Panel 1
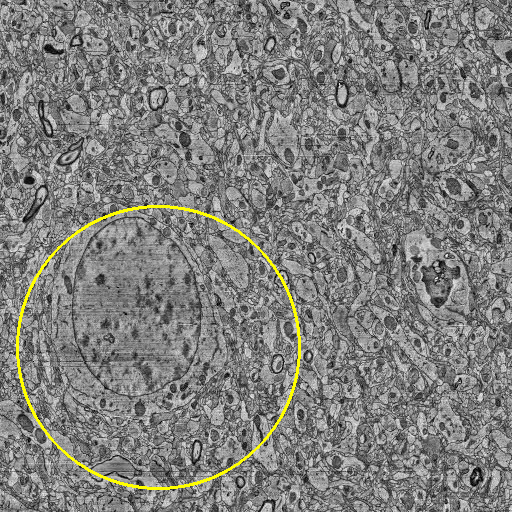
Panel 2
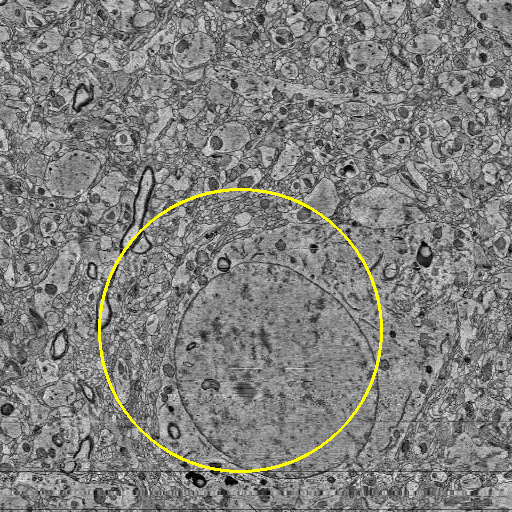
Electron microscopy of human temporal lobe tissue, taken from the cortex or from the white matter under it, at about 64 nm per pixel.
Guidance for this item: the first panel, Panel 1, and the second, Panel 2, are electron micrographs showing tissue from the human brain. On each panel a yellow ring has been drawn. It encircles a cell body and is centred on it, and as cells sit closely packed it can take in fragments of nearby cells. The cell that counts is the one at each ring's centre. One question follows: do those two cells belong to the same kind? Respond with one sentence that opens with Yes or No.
Yes, the cells at the ring centres in Panel 1 and Panel 2 are of one kind.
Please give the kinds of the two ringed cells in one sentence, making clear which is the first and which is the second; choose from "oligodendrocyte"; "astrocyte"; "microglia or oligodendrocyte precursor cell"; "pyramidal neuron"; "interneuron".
The cell in the first picture is a pyramidal neuron, and so is the one in the second.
